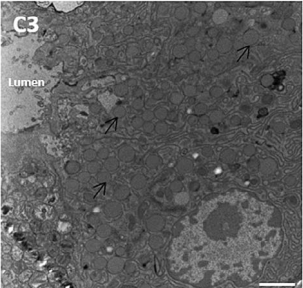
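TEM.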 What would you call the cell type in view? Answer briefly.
Acinar cells.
